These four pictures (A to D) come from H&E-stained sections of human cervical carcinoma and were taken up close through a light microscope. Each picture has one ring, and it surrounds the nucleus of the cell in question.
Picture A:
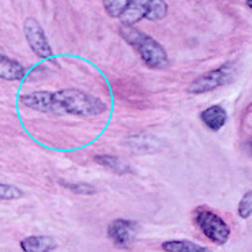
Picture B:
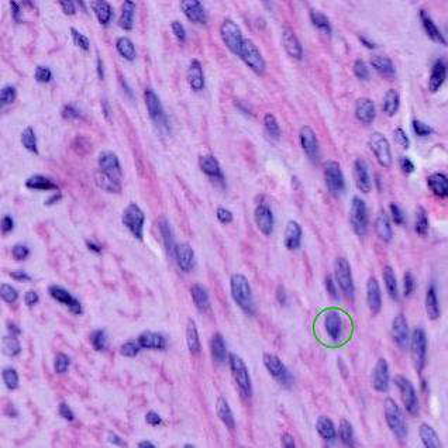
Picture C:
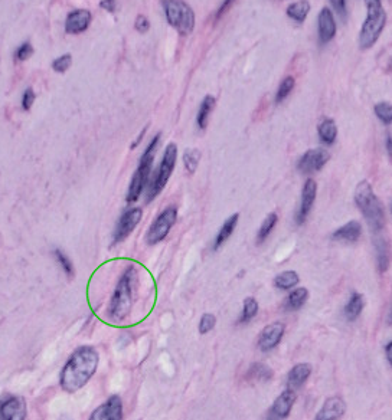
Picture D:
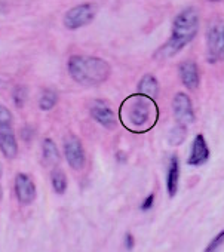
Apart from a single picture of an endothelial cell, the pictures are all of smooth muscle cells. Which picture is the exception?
C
